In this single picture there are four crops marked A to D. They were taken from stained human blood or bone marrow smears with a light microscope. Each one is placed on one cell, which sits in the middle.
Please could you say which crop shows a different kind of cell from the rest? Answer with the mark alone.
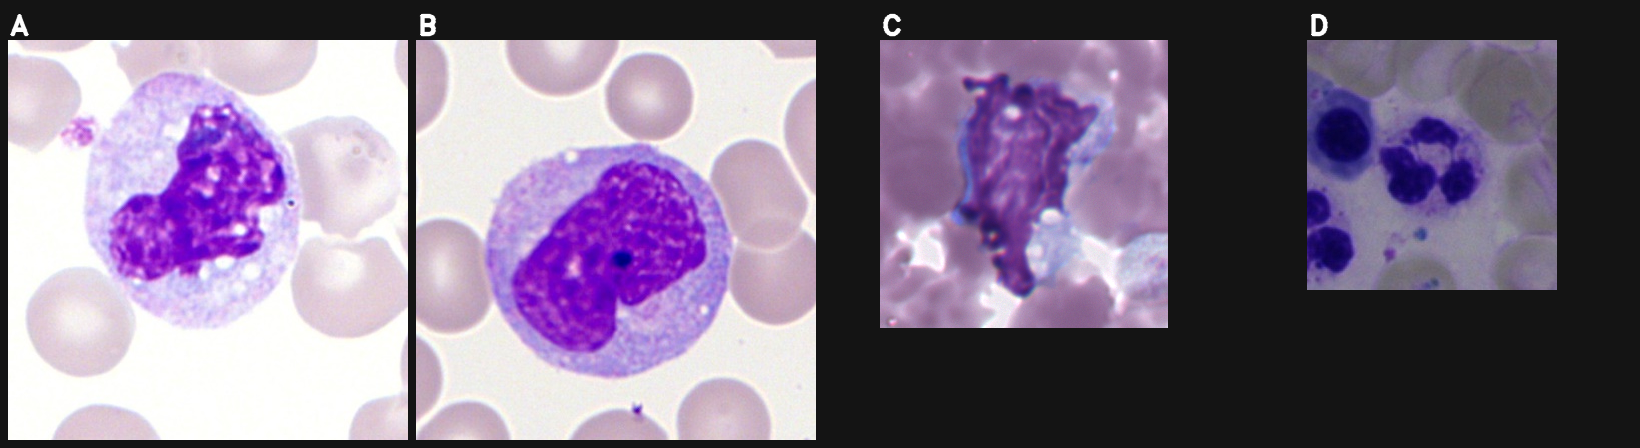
D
